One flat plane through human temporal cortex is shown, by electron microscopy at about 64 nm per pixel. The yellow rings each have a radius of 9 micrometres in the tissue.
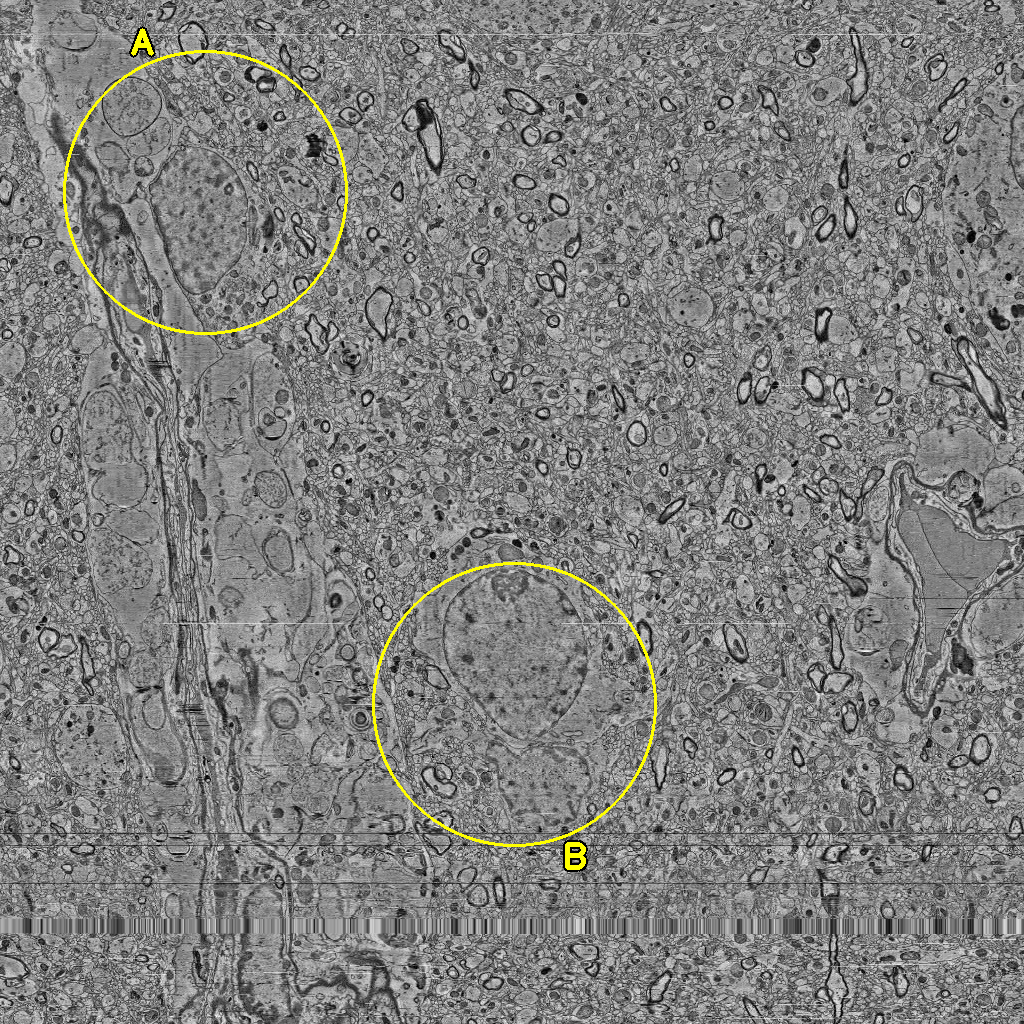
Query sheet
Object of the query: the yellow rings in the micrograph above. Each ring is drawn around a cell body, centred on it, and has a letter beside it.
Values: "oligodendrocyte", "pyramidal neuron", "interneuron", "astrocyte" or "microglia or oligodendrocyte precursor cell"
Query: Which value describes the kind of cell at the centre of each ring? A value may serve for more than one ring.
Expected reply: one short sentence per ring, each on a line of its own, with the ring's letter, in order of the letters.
I assign an oligodendrocyte to ring A.
I assign an astrocyte to ring B.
